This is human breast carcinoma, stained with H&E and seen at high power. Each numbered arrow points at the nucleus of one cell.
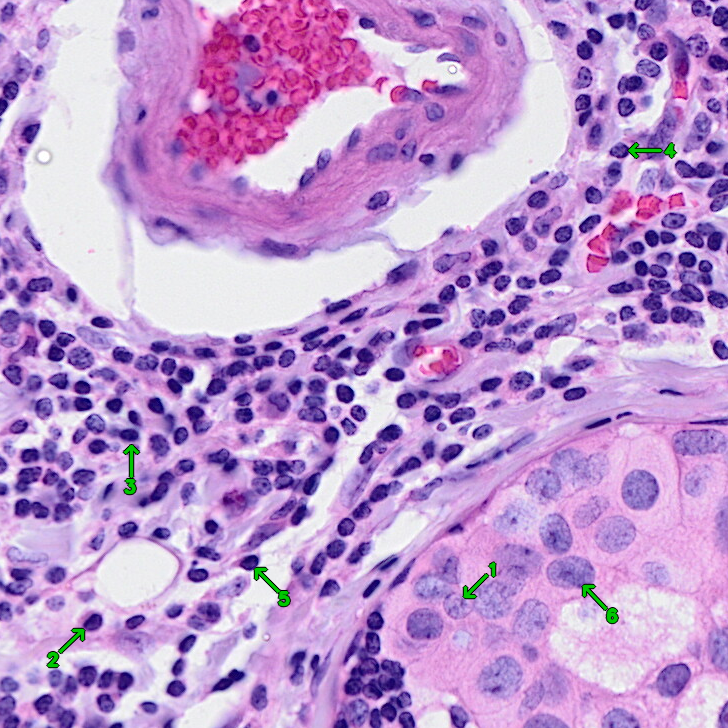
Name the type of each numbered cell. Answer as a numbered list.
1. carcinoma cell
2. lymphocyte
3. lymphocyte
4. lymphocyte
5. lymphocyte
6. carcinoma cell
